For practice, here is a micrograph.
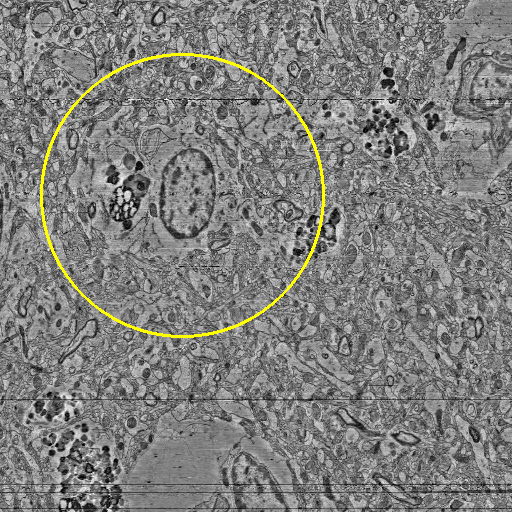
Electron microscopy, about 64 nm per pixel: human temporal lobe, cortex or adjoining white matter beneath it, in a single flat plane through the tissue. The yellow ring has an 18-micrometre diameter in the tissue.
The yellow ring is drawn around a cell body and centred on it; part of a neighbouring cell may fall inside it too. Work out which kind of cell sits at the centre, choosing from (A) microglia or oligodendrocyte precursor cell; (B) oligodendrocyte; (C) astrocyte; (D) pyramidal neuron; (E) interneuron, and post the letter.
C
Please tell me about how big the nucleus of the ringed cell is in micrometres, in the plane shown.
Roughly 6 by 3 micrometres; in this plane, clearly longer than it is wide.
